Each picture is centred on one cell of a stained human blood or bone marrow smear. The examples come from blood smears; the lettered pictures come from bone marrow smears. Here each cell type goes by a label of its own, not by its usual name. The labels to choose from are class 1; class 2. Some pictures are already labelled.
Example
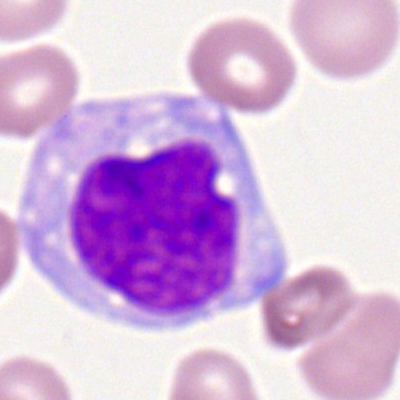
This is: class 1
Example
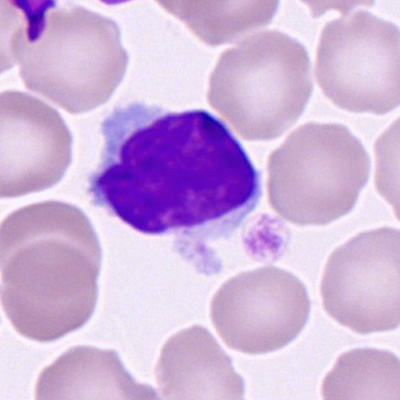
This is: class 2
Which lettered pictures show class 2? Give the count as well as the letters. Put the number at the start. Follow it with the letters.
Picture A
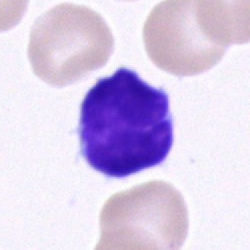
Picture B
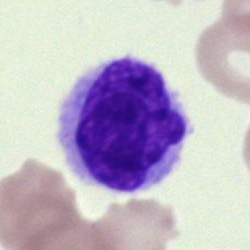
1: A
